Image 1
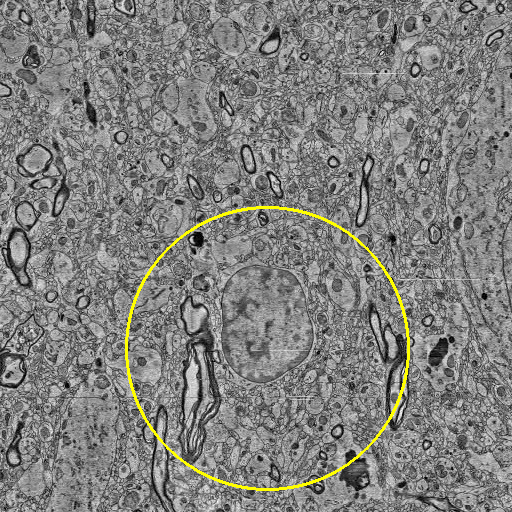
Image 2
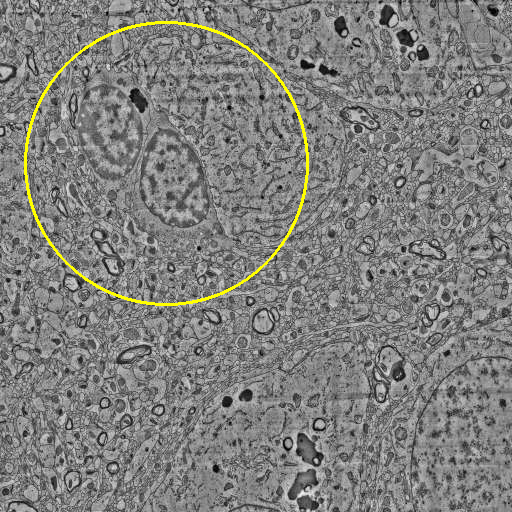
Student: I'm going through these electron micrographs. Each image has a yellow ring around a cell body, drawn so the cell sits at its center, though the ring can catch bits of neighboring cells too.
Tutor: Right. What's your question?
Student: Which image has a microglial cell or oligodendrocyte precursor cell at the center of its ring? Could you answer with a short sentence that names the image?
Image 1 shows it at the center of its ring.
